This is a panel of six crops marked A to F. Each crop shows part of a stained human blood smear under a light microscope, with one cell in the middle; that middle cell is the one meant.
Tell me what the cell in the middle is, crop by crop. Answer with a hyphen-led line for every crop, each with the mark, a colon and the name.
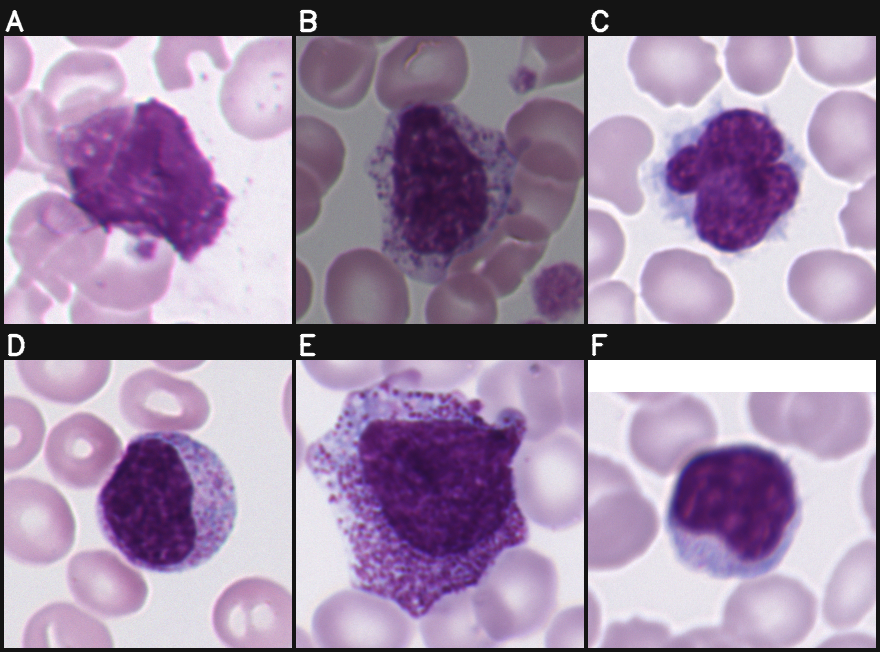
- A: smudge cell
- B: myelocyte
- C: hairy cell
- D: metamyelocyte
- E: promyelocyte
- F: typical lymphocyte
